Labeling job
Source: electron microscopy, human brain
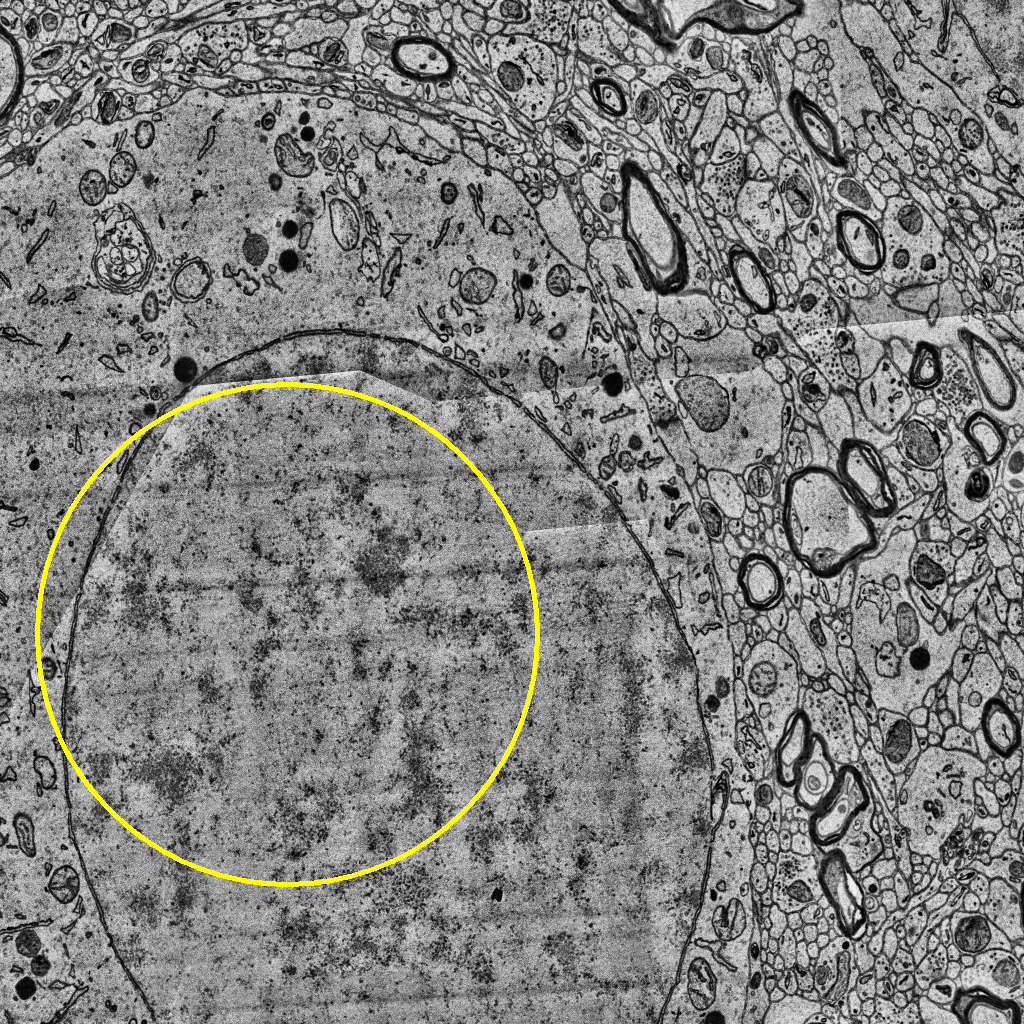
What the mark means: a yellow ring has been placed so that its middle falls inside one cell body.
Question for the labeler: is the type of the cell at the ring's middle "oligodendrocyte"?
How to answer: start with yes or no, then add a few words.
No, its type is another one.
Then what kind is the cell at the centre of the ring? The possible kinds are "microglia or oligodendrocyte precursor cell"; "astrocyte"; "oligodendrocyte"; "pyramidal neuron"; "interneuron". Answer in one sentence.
So the cell at the centre is a pyramidal neuron.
